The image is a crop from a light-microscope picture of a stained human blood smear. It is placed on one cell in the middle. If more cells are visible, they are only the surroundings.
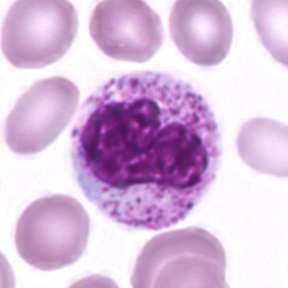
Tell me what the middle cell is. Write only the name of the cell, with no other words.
band neutrophil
